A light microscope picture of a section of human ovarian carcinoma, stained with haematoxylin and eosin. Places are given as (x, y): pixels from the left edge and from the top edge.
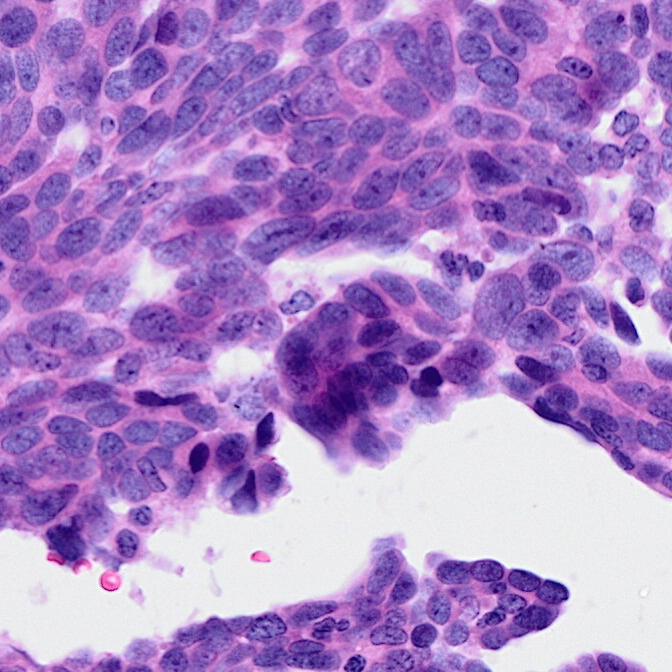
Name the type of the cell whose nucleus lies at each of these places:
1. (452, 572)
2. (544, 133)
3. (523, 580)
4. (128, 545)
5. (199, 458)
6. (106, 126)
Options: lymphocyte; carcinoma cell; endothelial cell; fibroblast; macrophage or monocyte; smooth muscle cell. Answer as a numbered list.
1. carcinoma cell
2. carcinoma cell
3. carcinoma cell
4. macrophage or monocyte
5. carcinoma cell
6. macrophage or monocyte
